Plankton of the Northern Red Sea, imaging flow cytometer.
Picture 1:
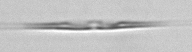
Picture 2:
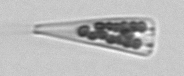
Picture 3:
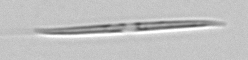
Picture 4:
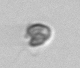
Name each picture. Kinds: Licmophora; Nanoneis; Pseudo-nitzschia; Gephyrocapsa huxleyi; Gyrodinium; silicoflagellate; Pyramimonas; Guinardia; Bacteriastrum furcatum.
1: Pseudo-nitzschia
2: Licmophora
3: Pseudo-nitzschia
4: Pyramimonas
